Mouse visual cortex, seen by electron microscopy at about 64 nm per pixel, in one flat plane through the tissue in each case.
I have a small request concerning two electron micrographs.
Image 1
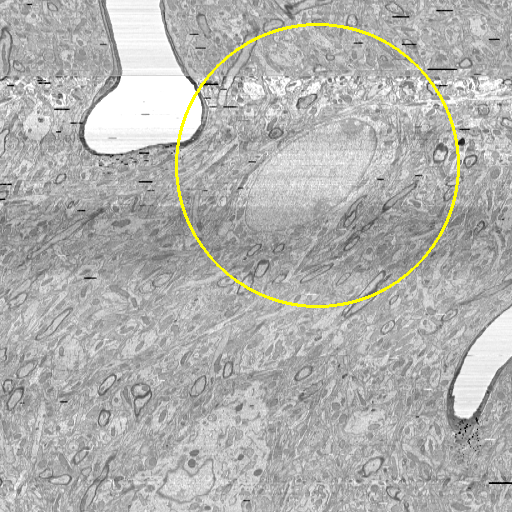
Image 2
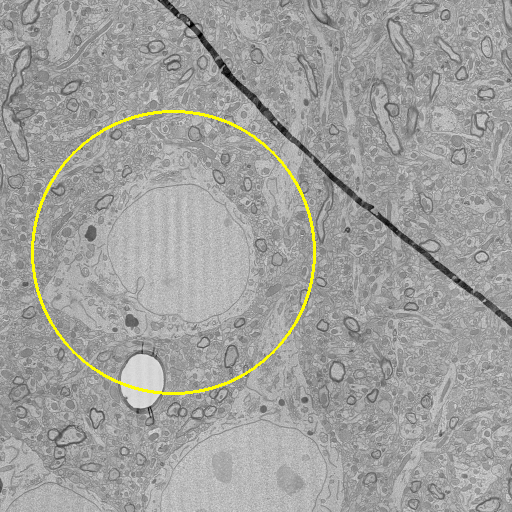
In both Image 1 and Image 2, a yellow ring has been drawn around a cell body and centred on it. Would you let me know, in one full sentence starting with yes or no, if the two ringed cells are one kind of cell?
No, the cells ringed in Image 1 and Image 2 are two kinds of cell.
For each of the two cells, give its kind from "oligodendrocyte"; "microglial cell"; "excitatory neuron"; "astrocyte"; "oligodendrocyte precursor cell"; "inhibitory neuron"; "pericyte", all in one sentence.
The first picture has an astrocyte in its ring, the second has an excitatory neuron.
